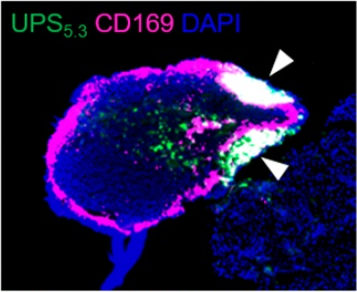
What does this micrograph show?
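This is a lymph node seen at low power, its body filled with blue nuclei. A thin magenta rim outlines much of the node's outer edge. Green fluorescence is concentrated at one pole near the margin, where it overlaps the magenta and appears as bright white patches. Smaller green specks are scattered through the interior of the node. The adjacent tissue to the right has sparse blue nuclei and almost no green.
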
